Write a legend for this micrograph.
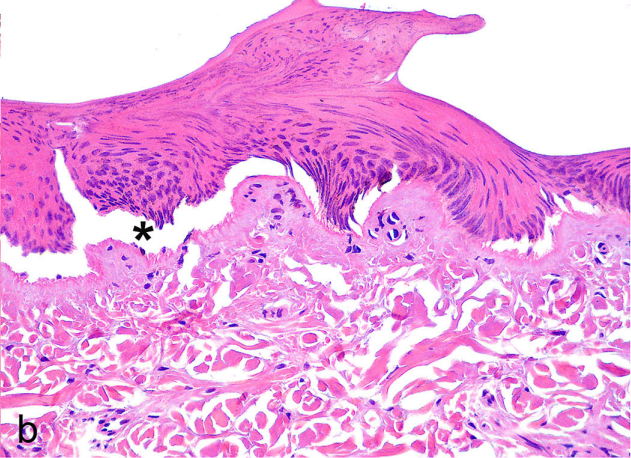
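Skin with epidermis above and dermis below, stained pink and purple. The nuclei of the epidermal cells are strikingly long and slender, drawn out and aligned in parallel, so the epithelium appears to stream diagonally toward the surface, where the pink outer layer is lifted into a pointed, wave-like fold. Beneath the epidermis a clear cleft separates it from the dermis, whose collagen bundles appear pale pink and loosely spaced with scattered small nuclei. This represents stretched epidermal nuclei and separation at the junction between epidermis and dermis.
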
